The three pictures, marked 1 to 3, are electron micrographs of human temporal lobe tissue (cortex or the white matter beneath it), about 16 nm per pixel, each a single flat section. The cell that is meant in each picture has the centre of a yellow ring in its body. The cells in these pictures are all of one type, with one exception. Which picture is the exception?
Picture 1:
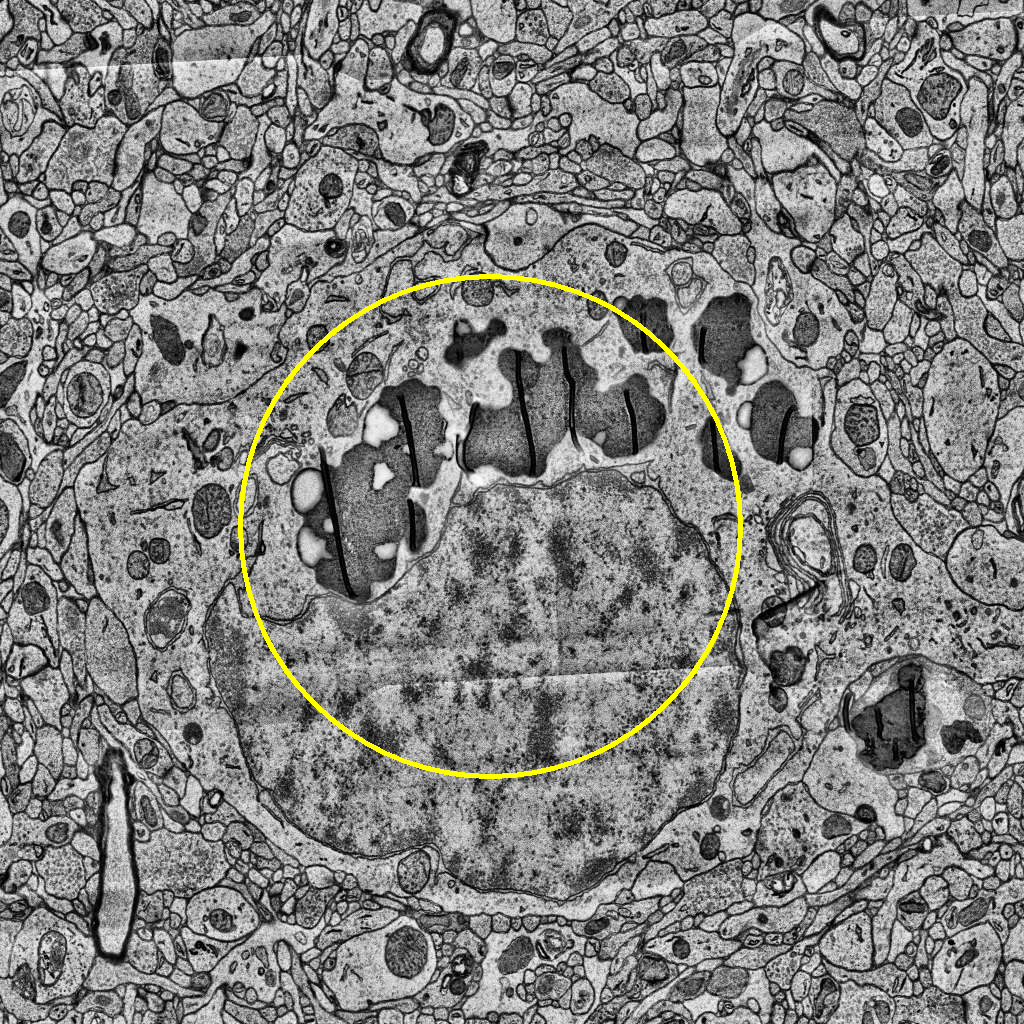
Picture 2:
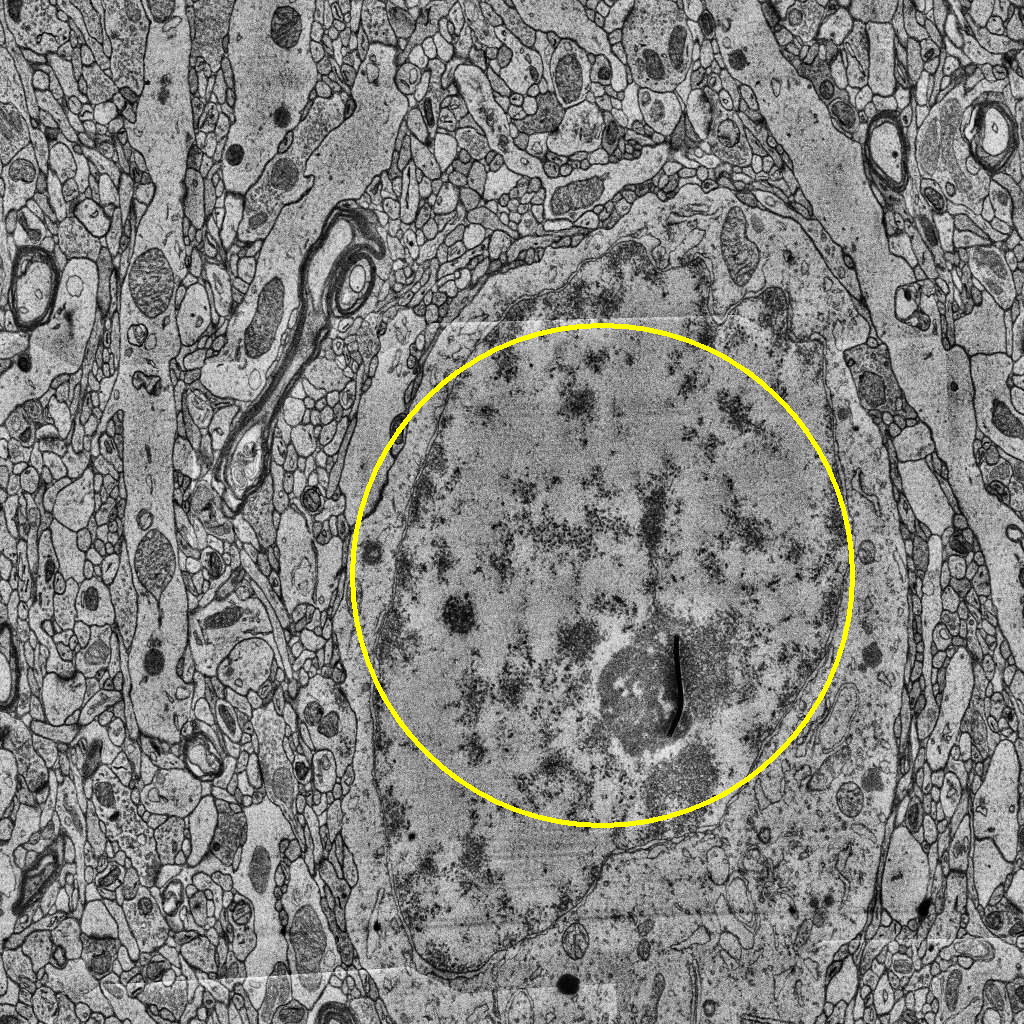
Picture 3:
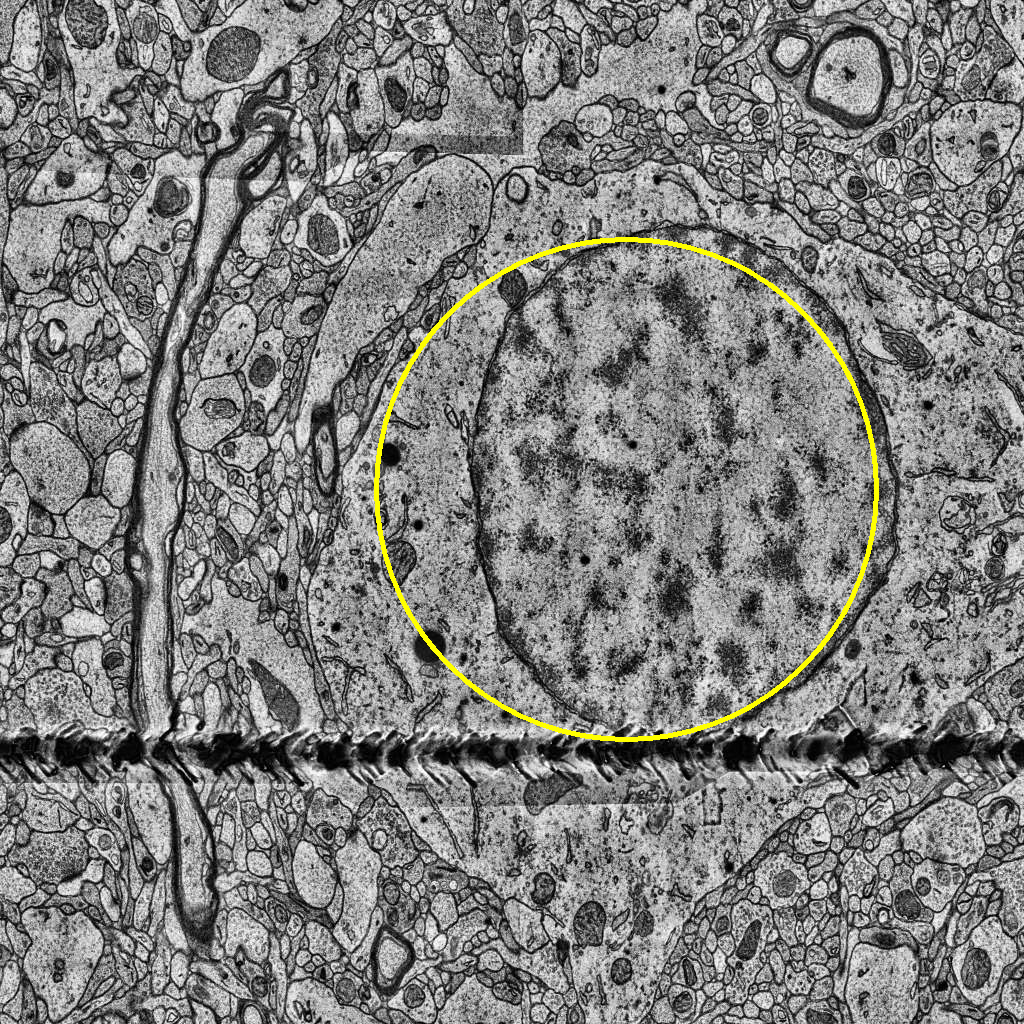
Picture 3 differs, because its cell is a pyramidal neuron and the rest are interneurons.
